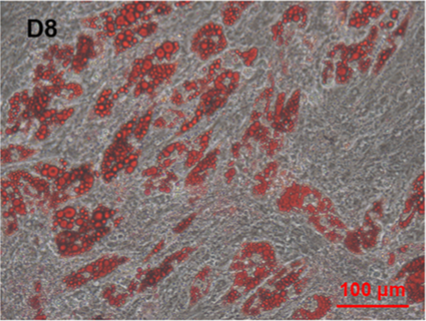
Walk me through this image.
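Cultured adipocytes appear as clusters of rounded cells whose cytoplasm is crowded with round lipid droplets stained bright red, ranging from small to large. These red-filled clusters lie in irregular patches and streaks across a background of unstained, flattened, densely packed cells that hold no visible droplets.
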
